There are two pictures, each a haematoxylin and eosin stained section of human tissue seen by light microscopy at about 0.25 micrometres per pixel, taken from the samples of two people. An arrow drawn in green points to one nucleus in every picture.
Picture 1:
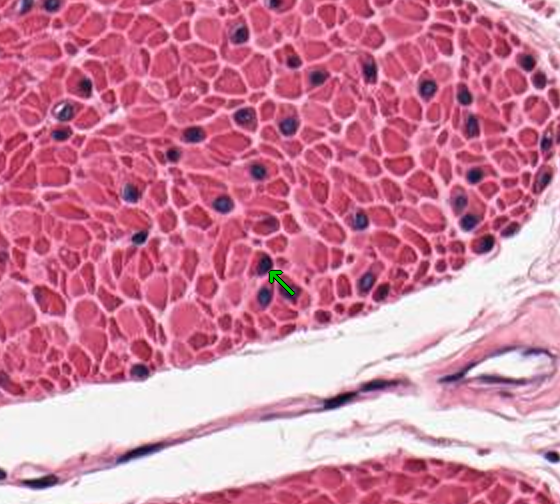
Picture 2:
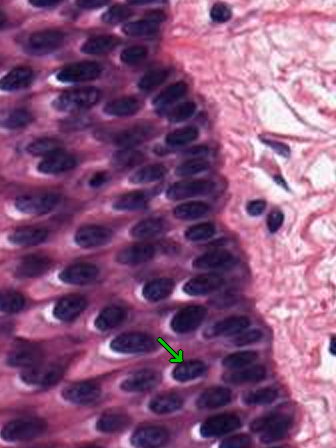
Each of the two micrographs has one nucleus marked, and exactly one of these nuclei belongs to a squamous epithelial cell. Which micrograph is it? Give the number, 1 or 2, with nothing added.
2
